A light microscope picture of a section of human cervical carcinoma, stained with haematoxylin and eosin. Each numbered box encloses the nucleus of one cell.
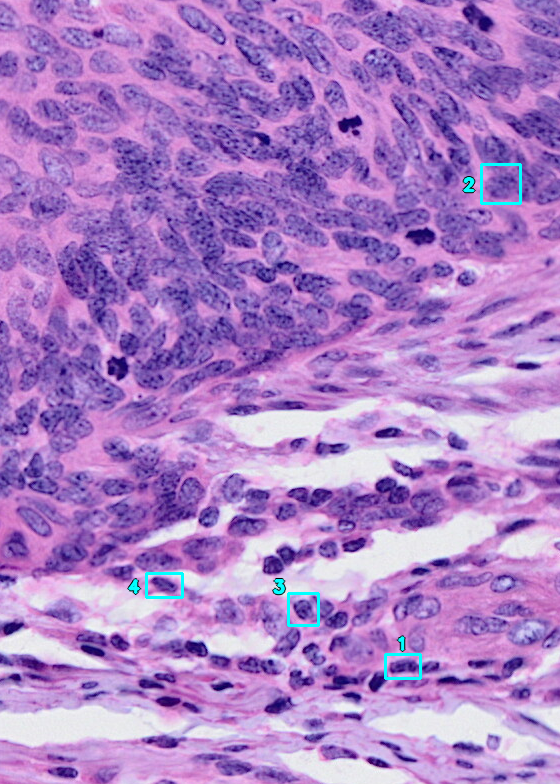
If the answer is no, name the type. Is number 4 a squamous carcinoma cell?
No, it is a lymphocyte.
